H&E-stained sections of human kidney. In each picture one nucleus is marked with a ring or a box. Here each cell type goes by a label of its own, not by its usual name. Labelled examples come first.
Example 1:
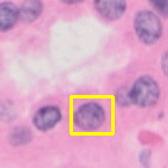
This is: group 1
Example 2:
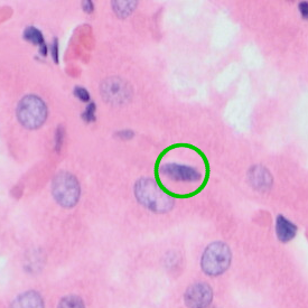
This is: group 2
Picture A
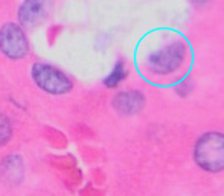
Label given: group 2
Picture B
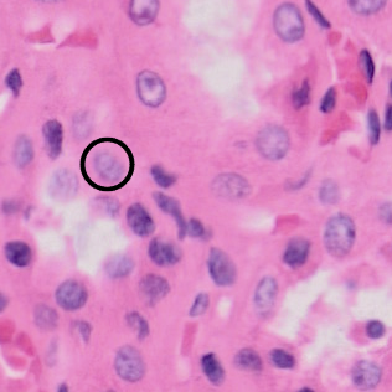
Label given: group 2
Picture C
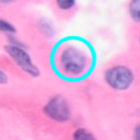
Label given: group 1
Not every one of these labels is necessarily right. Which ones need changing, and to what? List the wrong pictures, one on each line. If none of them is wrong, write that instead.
A: group 1, not group 2
B: group 1, not group 2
